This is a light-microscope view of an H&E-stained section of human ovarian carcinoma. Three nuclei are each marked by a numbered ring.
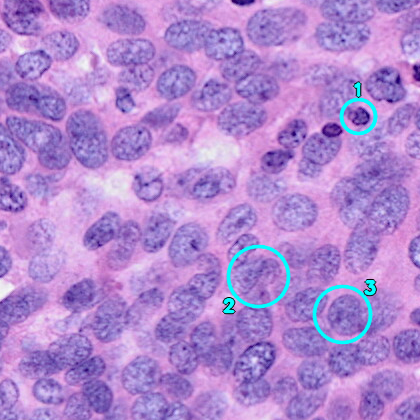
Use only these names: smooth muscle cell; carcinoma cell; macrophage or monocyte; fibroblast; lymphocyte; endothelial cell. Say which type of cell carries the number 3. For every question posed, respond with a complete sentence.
Numbered cell 3 is a carcinoma cell in this tissue section.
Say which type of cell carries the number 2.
Cell 2 should be recorded as a carcinoma cell.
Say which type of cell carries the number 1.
Corresponding to a lymphocyte is the cell labelled 1.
